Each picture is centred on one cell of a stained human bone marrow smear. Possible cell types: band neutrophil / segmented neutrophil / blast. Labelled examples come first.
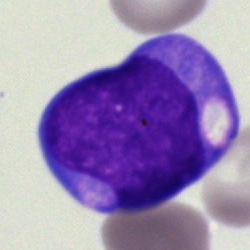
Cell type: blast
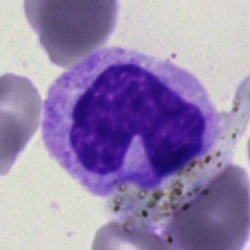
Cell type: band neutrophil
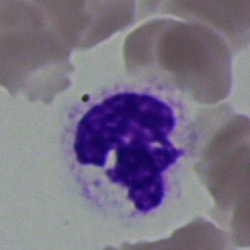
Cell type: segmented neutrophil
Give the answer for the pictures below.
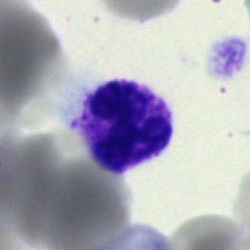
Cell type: segmented neutrophil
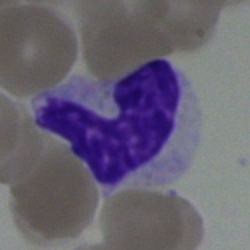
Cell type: band neutrophil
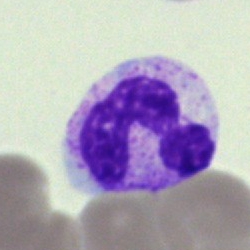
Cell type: segmented neutrophil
